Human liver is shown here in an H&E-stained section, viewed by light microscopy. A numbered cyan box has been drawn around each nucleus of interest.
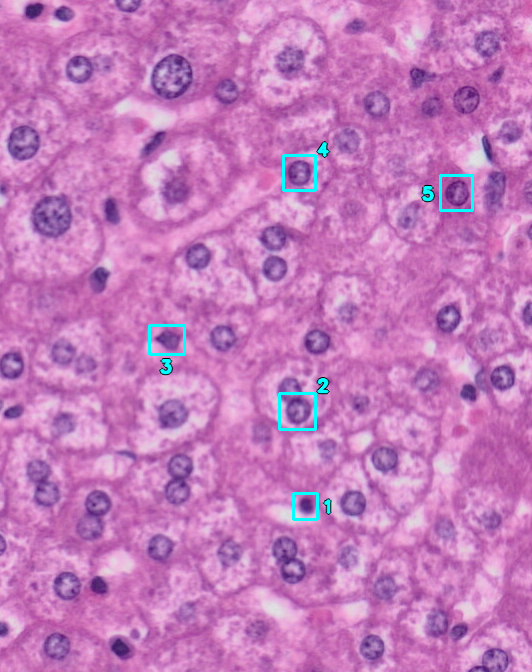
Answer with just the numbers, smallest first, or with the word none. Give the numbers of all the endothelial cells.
3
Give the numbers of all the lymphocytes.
1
